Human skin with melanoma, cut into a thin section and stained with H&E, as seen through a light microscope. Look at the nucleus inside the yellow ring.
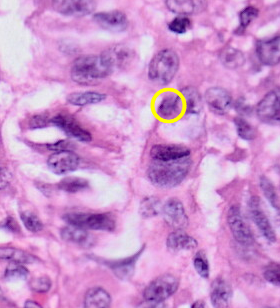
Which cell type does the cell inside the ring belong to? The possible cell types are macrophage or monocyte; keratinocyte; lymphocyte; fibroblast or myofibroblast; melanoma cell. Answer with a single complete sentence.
The classification of the cell inside the ring is as a melanoma cell.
